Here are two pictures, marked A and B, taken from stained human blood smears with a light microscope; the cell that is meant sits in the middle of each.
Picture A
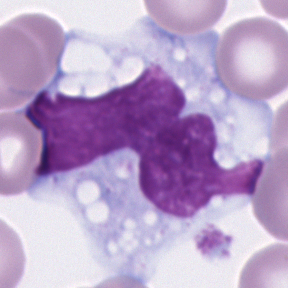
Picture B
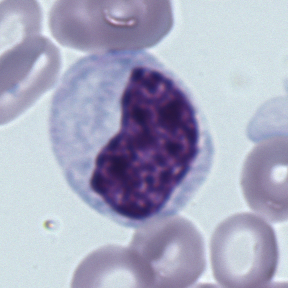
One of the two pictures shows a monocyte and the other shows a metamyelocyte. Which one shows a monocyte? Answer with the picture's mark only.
A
